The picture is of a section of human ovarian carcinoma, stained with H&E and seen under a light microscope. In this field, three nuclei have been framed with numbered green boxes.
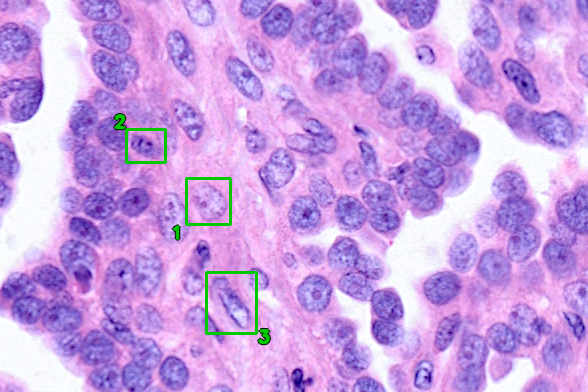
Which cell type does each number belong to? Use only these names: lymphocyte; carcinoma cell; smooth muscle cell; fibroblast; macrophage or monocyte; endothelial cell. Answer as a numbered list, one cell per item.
1. fibroblast
2. macrophage or monocyte
3. fibroblast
